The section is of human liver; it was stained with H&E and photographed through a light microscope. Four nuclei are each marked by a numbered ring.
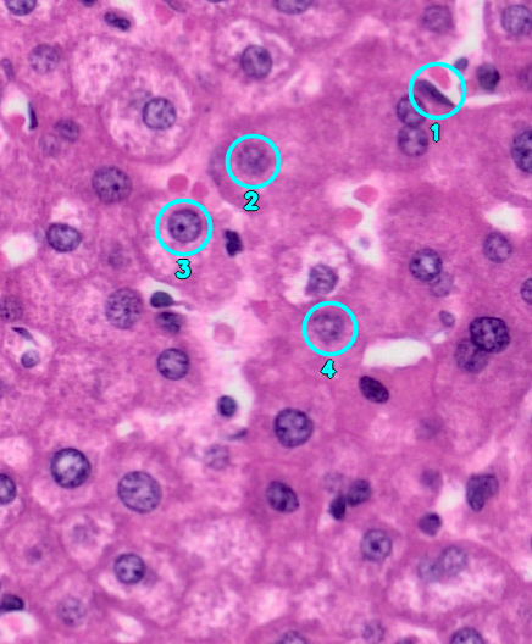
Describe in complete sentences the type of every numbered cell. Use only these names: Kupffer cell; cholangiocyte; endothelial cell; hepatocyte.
Cell 1 is an endothelial cell, cell 2 is a hepatocyte, cell 3 is a hepatocyte and cell 4 is a hepatocyte.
